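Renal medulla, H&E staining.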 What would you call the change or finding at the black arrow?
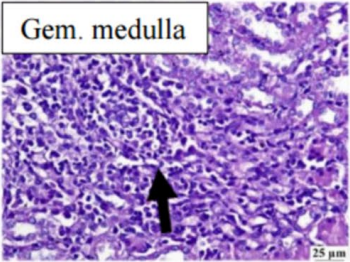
Mononuclear inflammatory cell infiltration.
